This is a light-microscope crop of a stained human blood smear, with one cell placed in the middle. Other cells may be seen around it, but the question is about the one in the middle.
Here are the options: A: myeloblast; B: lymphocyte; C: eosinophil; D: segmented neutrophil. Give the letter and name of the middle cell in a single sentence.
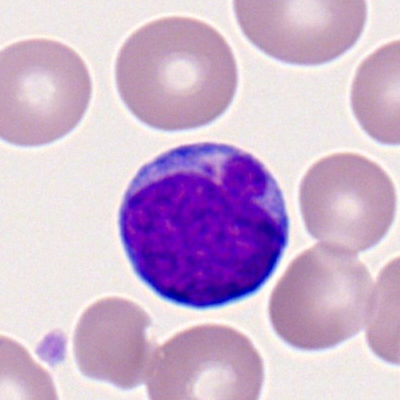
Located in the middle of the crop is a myeloblast, and option A is therefore correct.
